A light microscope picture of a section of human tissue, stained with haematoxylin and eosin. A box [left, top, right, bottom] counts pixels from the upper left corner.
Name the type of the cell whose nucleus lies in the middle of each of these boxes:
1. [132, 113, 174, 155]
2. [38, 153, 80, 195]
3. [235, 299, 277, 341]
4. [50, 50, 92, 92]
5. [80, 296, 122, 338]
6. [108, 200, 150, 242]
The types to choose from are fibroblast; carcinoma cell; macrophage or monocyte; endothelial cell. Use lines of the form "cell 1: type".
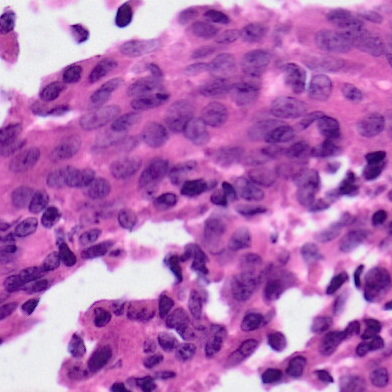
cell 1: carcinoma cell
cell 2: carcinoma cell
cell 3: carcinoma cell
cell 4: carcinoma cell
cell 5: macrophage or monocyte
cell 6: macrophage or monocyte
